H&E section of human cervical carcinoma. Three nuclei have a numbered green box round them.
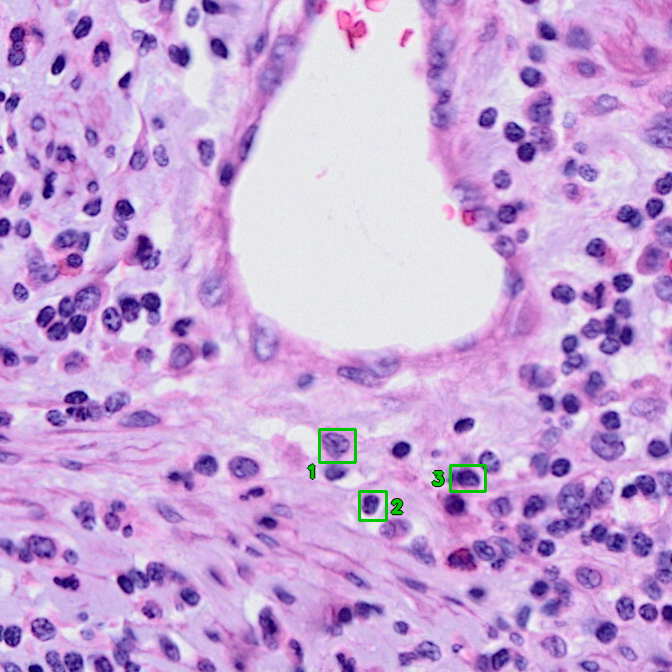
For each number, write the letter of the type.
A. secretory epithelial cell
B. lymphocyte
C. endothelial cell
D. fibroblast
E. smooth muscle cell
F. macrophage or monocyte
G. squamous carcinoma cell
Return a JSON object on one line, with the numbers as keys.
{"1": "F", "2": "B", "3": "B"}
